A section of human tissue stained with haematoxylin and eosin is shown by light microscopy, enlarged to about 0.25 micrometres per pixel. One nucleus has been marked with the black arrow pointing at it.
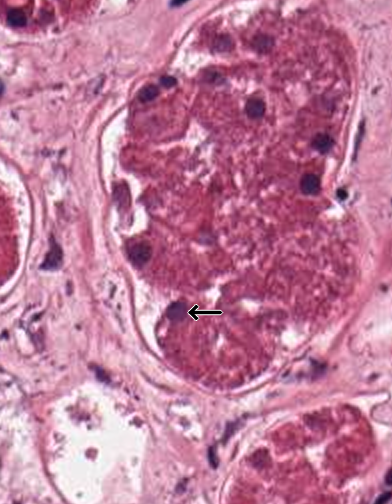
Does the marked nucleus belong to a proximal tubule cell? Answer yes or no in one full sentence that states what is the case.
Yes, the nucleus that is marked belongs to a proximal tubule cell.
